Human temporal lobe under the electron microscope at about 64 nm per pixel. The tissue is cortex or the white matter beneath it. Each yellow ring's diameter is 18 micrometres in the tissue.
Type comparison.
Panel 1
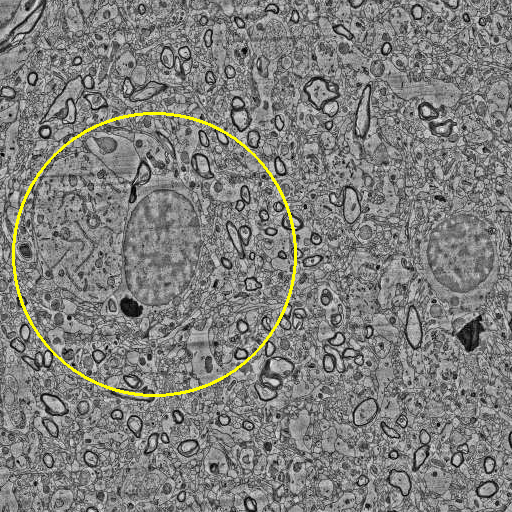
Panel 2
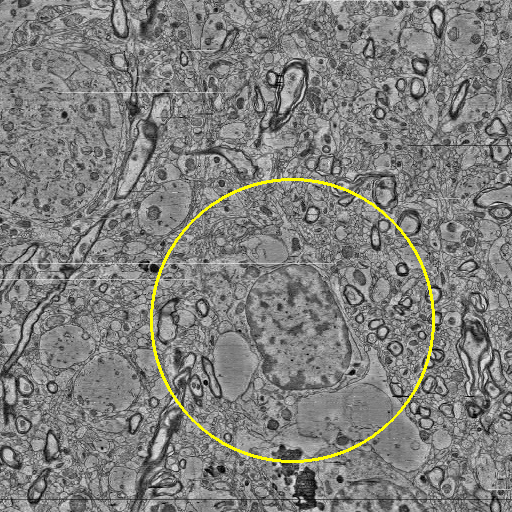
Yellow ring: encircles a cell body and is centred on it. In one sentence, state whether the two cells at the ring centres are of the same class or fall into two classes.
In these panels, the two cells at the ring centres fall into two classes.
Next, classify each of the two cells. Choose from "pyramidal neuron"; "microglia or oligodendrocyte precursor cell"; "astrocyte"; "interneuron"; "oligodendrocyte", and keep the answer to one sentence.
In the first picture it is an oligodendrocyte; in the second it is a microglial cell or oligodendrocyte precursor cell.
